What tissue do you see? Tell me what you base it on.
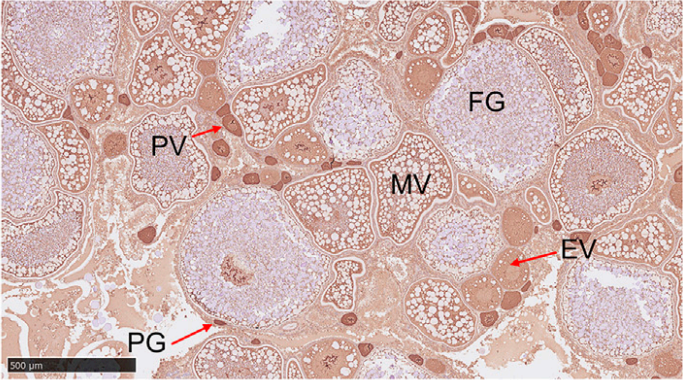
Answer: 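Ovary. Round oocytes of many different sizes fill the section. Each oocyte is rimmed by a thin cell layer within a loose stroma. Larger oocytes have cytoplasm full of round vacuoles or granular yolk.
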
